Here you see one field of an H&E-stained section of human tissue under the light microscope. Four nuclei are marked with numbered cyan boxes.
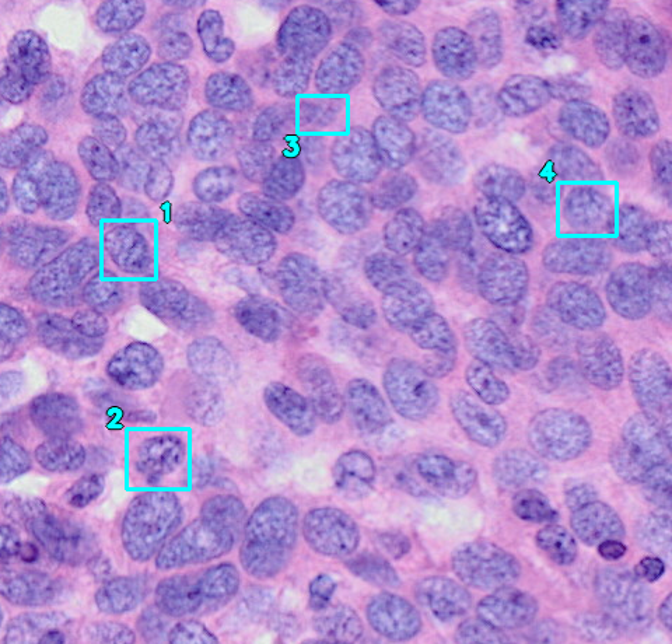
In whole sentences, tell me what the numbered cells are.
Cells 1, 3 and 4 are carcinoma cells. Cell 2 is a macrophage or monocyte.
